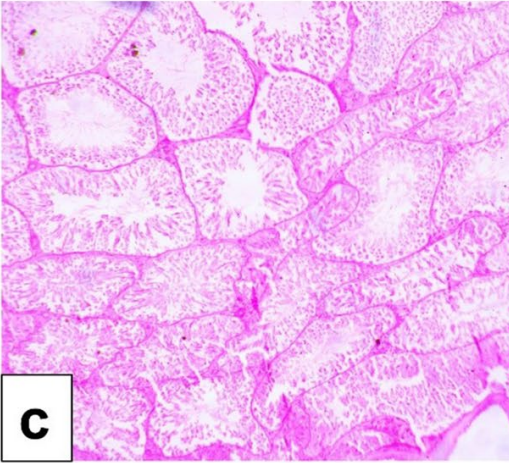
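This section of testis shows many seminiferous tubules cut in round and elongated profiles. Their epithelium is thick and layered, with cells arranged in columns around pale lumens. The rims of the tubules are picked out by pink to magenta staining. The interstitial tissue between the tubules also stains pink to magenta. Some tubules in the lower part of the field are cut obliquely and look stretched or irregular in outline.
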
